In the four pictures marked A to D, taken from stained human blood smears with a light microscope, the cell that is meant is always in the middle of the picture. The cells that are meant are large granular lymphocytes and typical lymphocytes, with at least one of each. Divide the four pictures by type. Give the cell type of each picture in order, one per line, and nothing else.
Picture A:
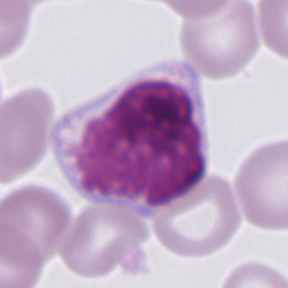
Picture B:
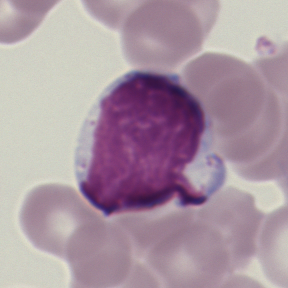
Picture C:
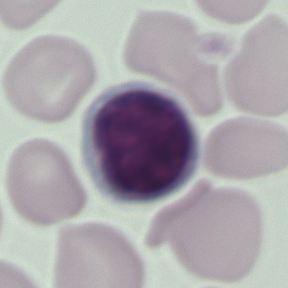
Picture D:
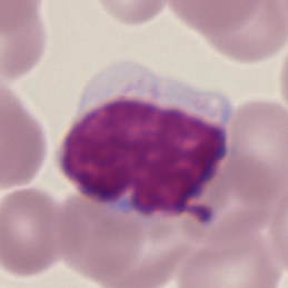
large granular lymphocyte
large granular lymphocyte
typical lymphocyte
large granular lymphocyte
